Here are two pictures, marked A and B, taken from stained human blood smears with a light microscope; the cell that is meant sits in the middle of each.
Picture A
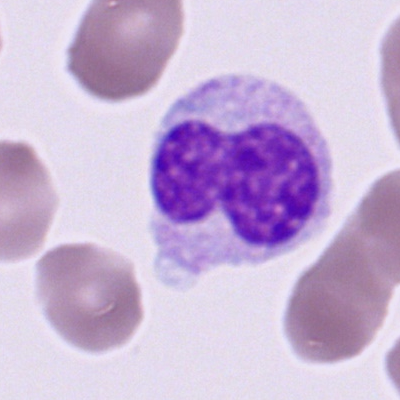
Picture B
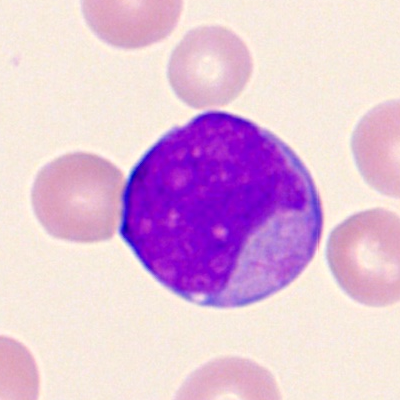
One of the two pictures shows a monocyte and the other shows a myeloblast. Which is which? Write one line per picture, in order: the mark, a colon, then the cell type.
A: monocyte
B: myeloblast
